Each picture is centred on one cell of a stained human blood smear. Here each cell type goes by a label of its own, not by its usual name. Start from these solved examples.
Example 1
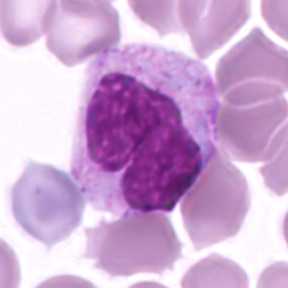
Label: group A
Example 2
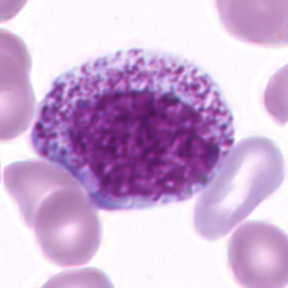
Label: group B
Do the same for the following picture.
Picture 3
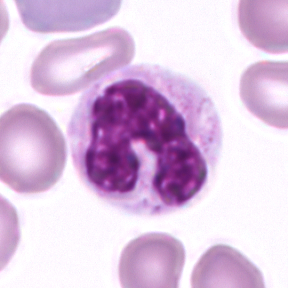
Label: group A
